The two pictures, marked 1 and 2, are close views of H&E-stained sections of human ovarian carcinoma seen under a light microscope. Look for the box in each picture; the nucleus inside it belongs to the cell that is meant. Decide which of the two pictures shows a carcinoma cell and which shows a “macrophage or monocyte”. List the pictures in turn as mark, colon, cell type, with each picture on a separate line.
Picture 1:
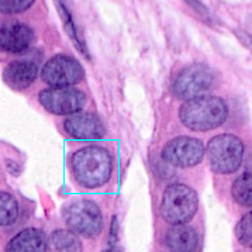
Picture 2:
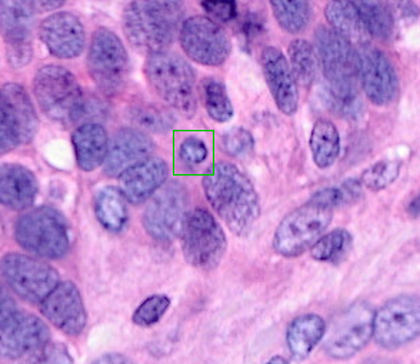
1: carcinoma cell
2: macrophage or monocyte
